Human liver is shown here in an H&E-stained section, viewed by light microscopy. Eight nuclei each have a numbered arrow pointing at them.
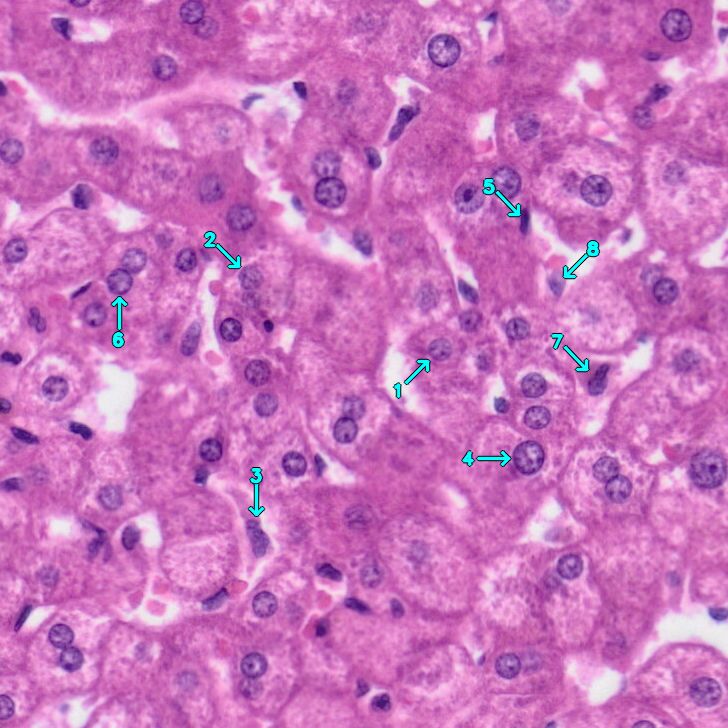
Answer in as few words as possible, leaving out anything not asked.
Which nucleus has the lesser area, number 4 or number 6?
6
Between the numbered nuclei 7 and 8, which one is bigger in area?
7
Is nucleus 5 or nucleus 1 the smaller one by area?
5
